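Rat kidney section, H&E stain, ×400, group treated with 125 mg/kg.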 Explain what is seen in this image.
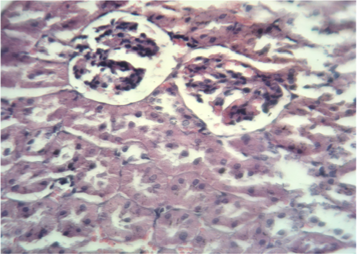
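Renal cortex with two adjacent glomeruli surrounded by closely packed tubules of pink cuboidal epithelium with round purple nuclei. Both glomerular tufts are shrunken and irregular, with darkly stained, condensed nuclei. Each tuft is separated from the capsule by a widened clear space.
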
